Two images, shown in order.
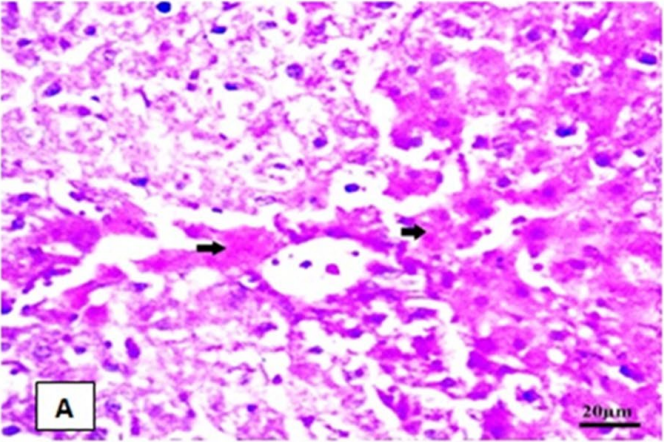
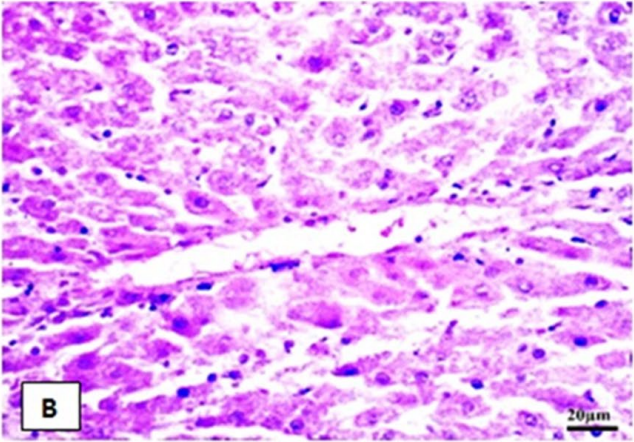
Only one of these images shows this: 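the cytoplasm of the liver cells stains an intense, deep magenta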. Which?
The first image.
